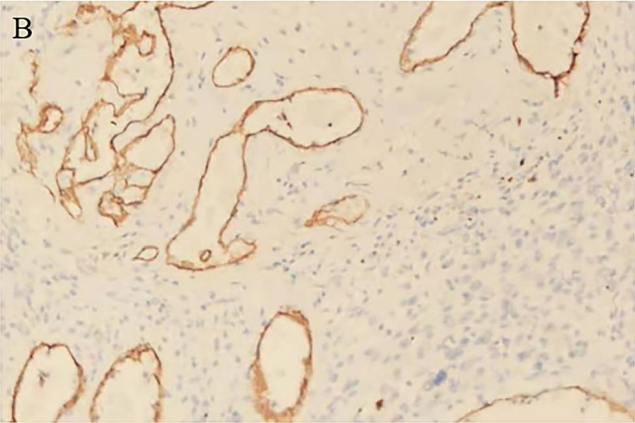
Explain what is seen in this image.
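Microvessels appear as open channels whose thin walls are lined by a brown-stained layer. The channels vary widely in size and shape, from small round profiles to large dilated and elongated lumens. At one side several small channels cluster together in a branching group. The lumens are pale and largely empty. Between the vessels lies unstained pale stroma with scattered oval to spindle blue nuclei.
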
